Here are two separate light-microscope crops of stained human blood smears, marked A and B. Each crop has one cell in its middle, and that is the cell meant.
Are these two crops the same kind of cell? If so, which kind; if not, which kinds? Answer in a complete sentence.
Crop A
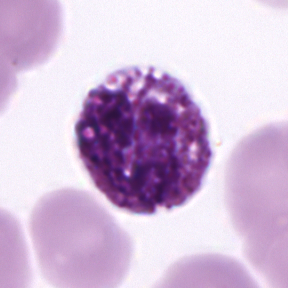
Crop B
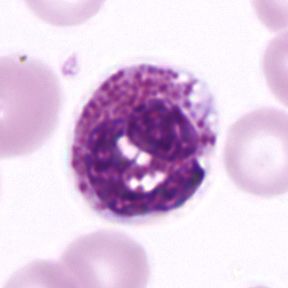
Yes, as shown in both crops, the central cells are eosinophils.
